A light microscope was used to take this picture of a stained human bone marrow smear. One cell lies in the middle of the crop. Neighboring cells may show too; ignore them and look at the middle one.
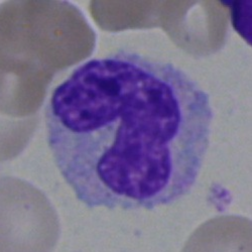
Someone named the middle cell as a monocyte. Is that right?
yes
